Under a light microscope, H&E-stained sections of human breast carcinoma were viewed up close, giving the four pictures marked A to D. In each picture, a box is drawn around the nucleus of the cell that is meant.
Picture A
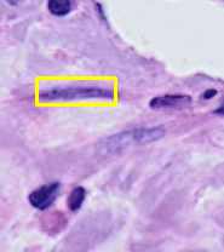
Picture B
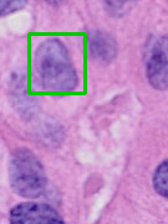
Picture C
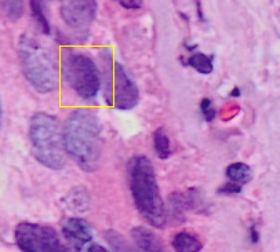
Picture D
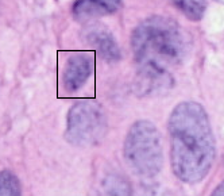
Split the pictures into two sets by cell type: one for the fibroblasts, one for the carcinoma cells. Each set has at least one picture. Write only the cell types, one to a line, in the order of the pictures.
fibroblast
carcinoma cell
carcinoma cell
carcinoma cell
